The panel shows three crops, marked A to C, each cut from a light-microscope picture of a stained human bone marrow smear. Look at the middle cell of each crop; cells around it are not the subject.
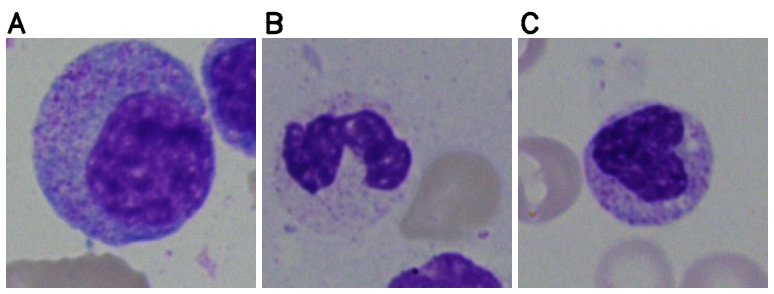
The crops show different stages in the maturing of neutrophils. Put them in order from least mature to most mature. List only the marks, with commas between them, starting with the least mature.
A, C, B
